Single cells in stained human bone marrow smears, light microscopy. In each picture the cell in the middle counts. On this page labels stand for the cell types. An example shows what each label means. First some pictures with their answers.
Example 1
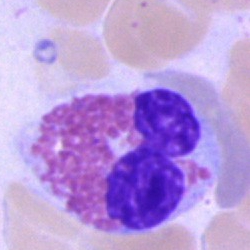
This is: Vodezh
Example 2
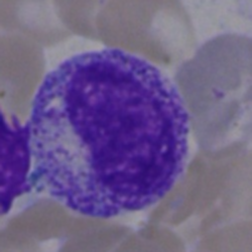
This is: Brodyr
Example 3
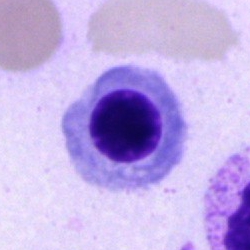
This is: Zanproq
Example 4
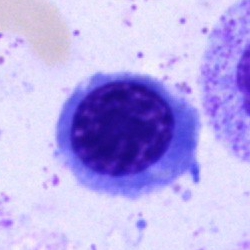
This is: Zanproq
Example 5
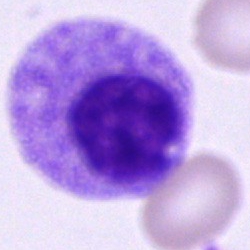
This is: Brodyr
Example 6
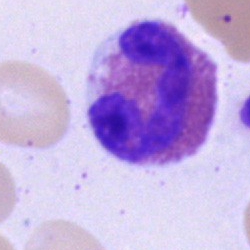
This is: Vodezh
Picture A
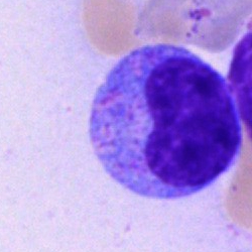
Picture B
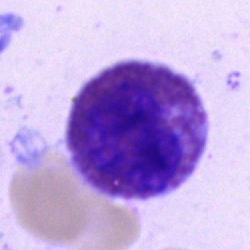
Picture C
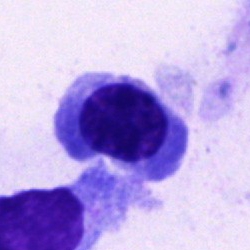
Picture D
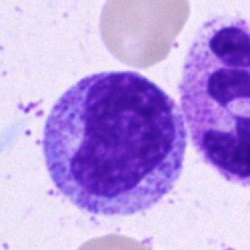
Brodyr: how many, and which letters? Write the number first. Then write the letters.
2: A, D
